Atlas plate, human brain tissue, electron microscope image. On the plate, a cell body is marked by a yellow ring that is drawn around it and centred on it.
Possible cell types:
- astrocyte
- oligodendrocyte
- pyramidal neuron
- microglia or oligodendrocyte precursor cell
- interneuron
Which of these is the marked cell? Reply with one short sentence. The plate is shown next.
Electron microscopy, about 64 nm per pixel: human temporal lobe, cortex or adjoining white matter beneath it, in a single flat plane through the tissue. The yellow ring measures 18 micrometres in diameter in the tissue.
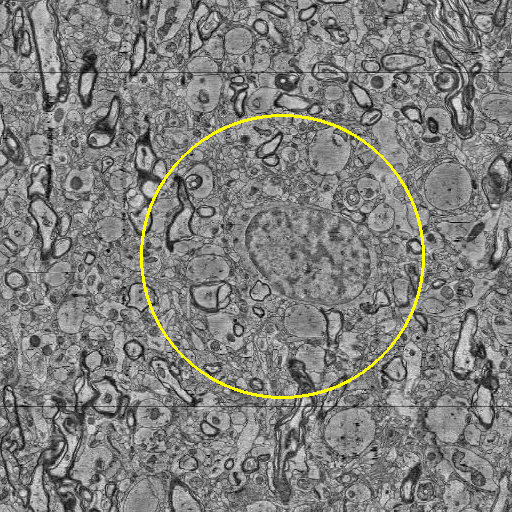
The marked cell is an oligodendrocyte.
